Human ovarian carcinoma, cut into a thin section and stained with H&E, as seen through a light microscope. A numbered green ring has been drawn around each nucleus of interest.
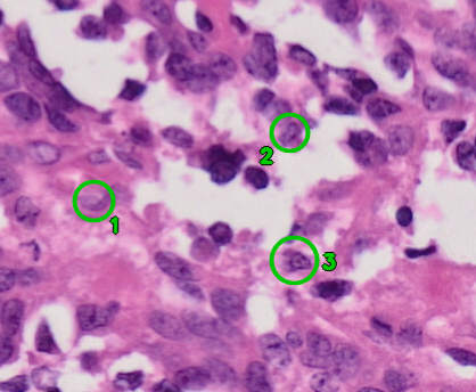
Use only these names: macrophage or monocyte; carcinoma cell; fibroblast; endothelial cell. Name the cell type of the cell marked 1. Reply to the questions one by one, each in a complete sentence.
The cell identified by the number 1 is an endothelial cell.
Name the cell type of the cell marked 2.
Within this field of view, the cell labelled 2 is a macrophage or monocyte.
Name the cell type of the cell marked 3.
The cell pointed out by number 3 is a macrophage or monocyte.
